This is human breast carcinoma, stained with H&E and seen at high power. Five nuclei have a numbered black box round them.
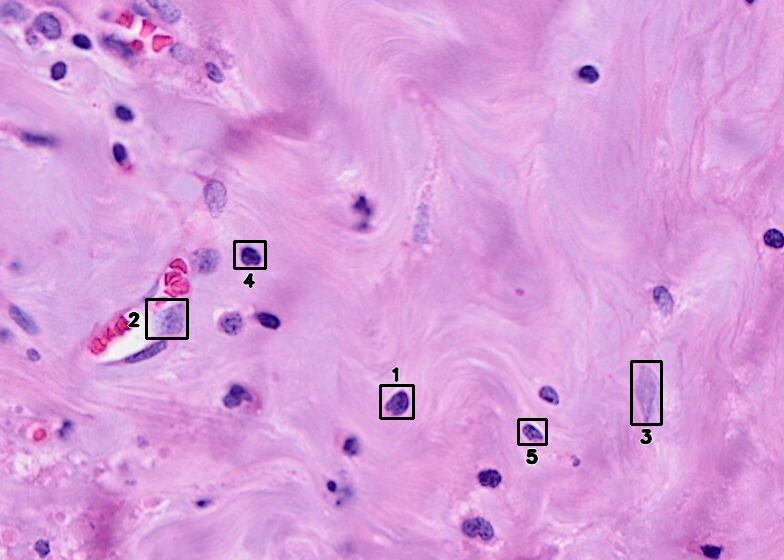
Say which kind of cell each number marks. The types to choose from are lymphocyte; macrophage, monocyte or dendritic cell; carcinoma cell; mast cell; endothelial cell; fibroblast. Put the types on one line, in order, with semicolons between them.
lymphocyte; endothelial cell; fibroblast; lymphocyte; lymphocyte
